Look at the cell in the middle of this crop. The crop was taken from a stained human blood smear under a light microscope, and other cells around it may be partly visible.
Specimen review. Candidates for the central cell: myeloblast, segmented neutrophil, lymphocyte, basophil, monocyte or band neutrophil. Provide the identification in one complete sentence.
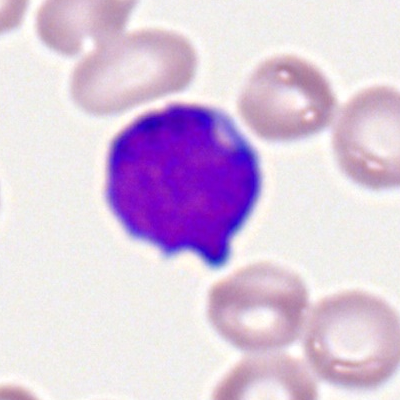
As for the cell in the middle, it is a myeloblast.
